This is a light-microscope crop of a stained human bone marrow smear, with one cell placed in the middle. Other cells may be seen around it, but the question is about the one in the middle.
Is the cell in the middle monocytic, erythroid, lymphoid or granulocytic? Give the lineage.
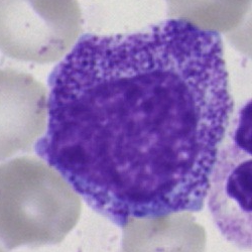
granulocytic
